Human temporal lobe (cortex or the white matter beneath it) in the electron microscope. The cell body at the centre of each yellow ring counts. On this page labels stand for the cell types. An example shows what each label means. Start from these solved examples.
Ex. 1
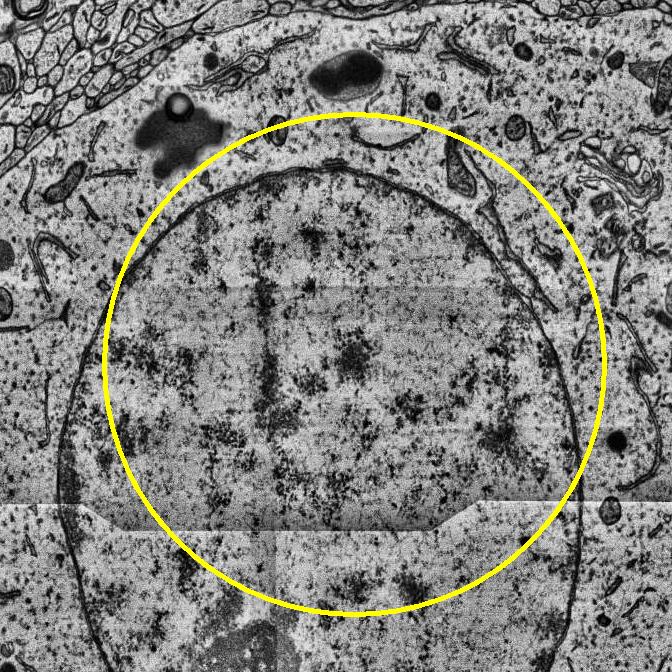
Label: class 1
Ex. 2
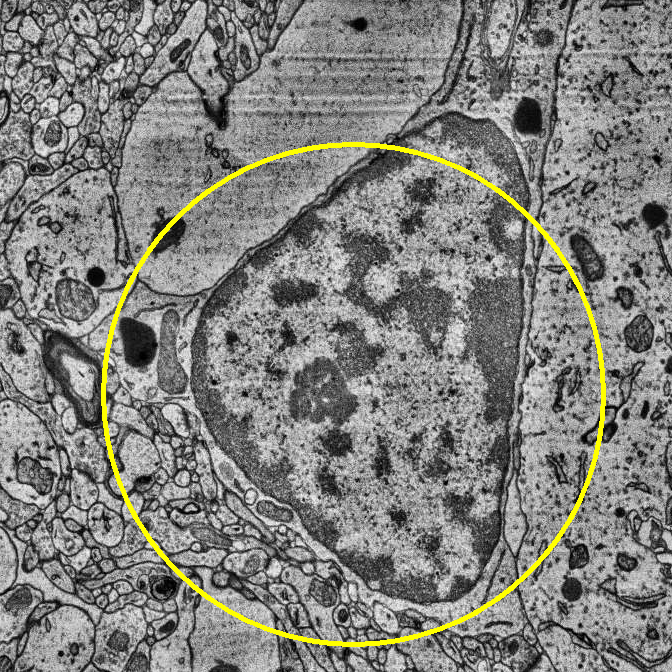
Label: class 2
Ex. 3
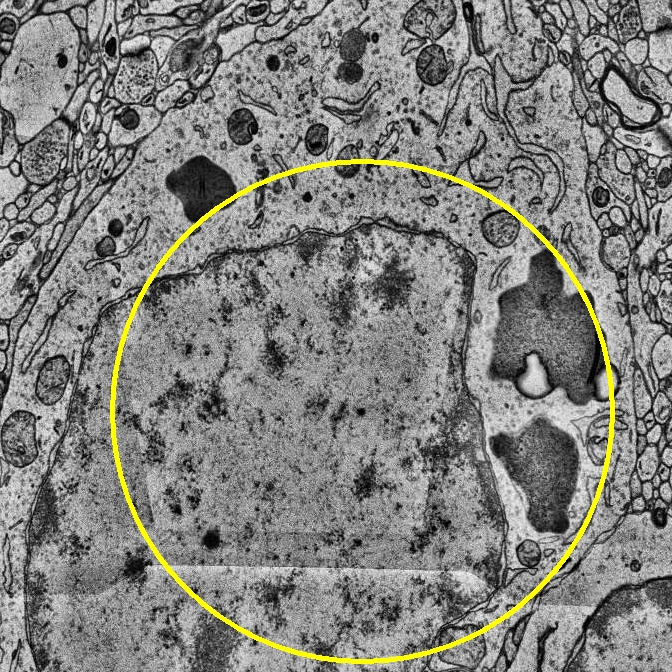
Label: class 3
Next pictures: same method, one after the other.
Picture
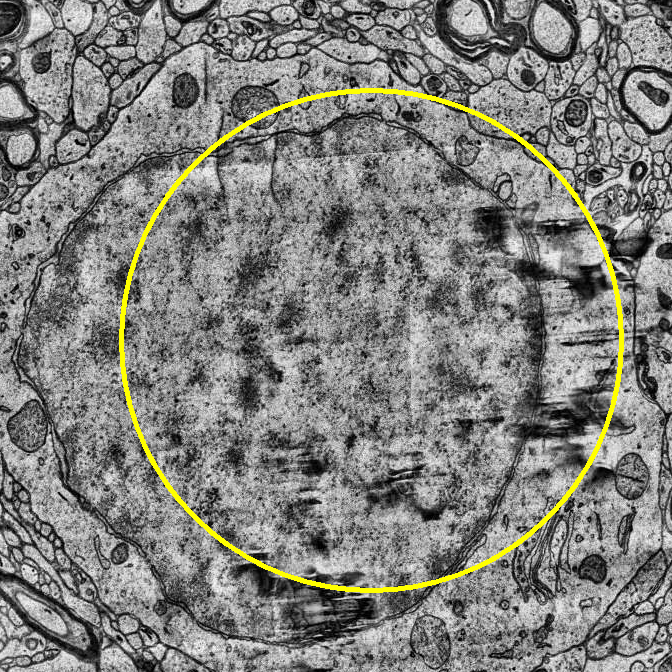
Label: class 3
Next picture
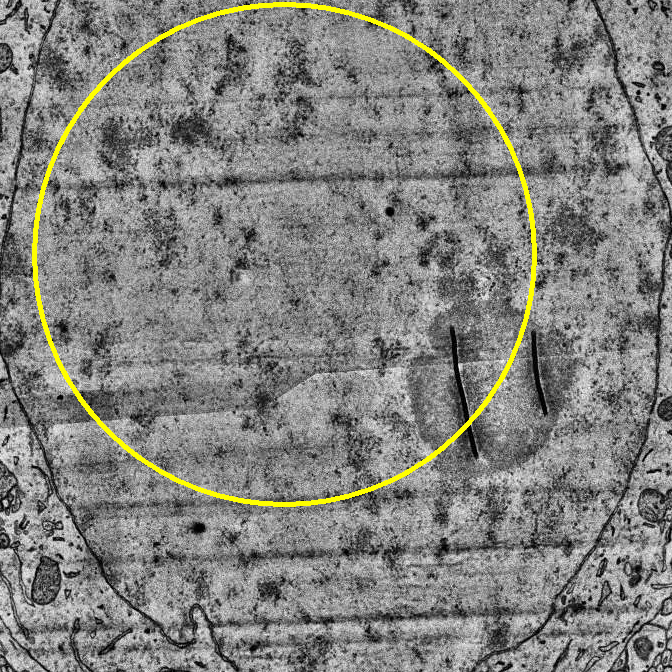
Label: class 1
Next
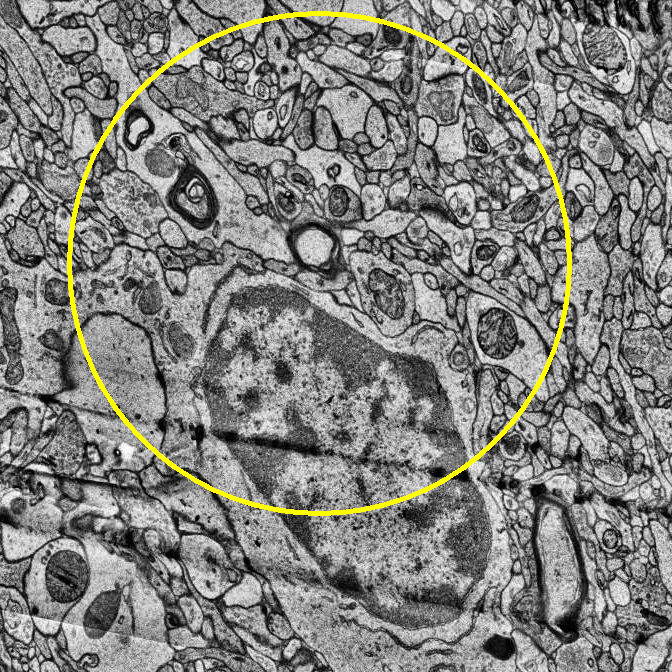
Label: class 2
